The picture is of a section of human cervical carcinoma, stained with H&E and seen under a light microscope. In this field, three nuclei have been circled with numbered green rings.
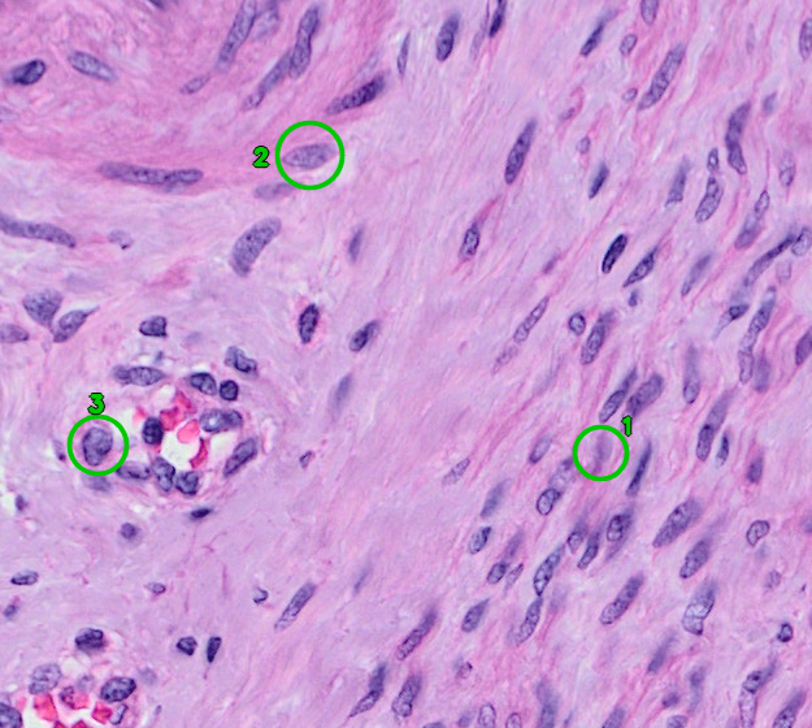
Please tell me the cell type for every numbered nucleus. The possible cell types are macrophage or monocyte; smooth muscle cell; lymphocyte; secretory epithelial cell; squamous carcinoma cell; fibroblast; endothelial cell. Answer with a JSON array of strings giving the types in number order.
["smooth muscle cell", "smooth muscle cell", "endothelial cell"]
